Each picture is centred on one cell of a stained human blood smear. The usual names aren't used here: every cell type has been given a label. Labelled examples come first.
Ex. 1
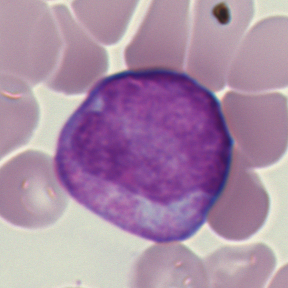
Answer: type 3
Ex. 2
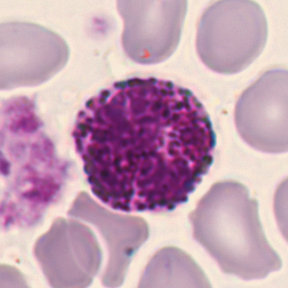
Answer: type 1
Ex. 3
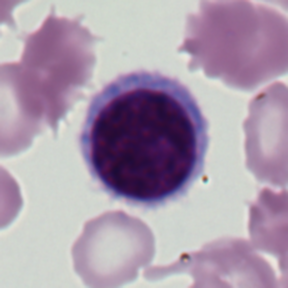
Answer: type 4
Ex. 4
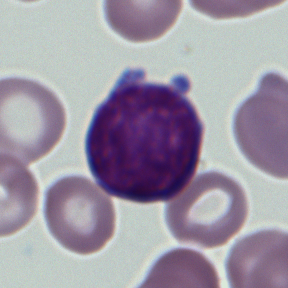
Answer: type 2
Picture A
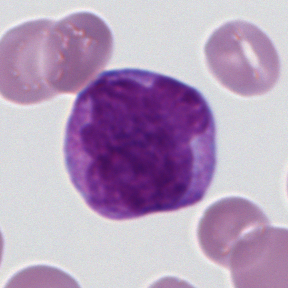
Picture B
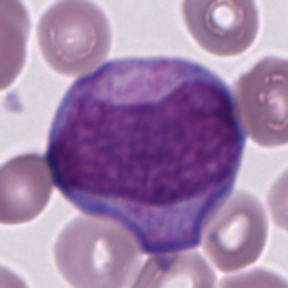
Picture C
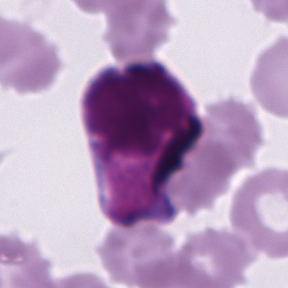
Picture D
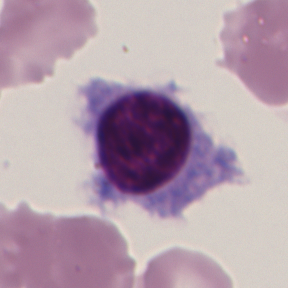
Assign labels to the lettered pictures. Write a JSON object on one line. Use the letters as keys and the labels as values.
{"A": "type 3", "B": "type 3", "C": "type 2", "D": "type 4"}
